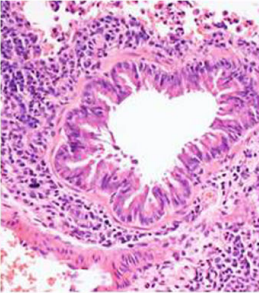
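A bronchiole of the lung is surrounded by a heavy inflammatory infiltration of small cells with dark purple nuclei. The airway lining is a folded, pink-staining columnar epithelium with its nuclei lined up toward the base. Beneath the epithelium lies a thin pink band of wall, and outside it the crowded infiltrate fills the tissue so that the surrounding alveolar spaces are largely lost.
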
